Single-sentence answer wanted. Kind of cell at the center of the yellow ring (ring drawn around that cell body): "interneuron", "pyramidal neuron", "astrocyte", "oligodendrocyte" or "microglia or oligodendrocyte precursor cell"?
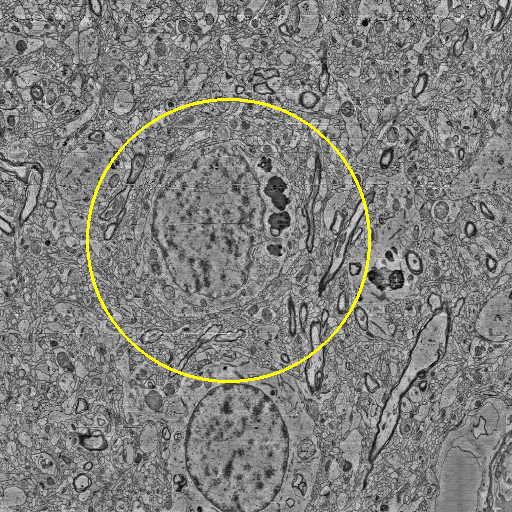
The cell centered in the ring is an interneuron.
